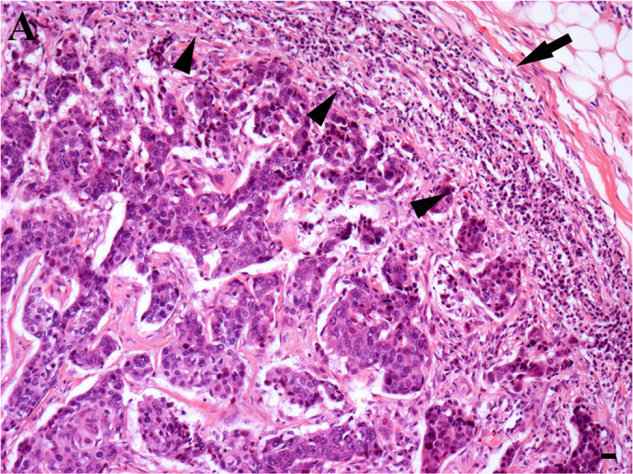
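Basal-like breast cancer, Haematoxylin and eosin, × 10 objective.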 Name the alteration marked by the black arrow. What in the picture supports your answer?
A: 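The arrow points to a band of densely packed small, dark round nuclei. The band lies between the tumour edge and adipose tissue.
Answer: chronic inflammatory cell infiltrate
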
